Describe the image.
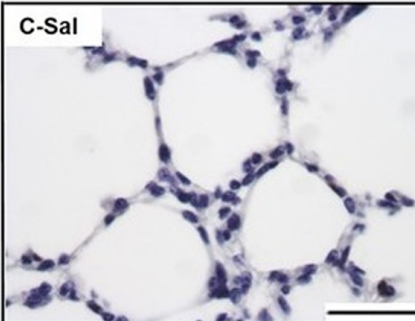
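This is normal-looking lung parenchyma made up of large, rounded, empty air spaces separated by thin walls. The walls are only one or a few cells thick and carry flattened and oval blue-stained nuclei lined up along them. Where several walls meet, small clusters of nuclei gather at the junctions. The air spaces are clear, with no cells filling them, and brown staining is almost absent, apart from perhaps a tiny spot at the edge. The overall picture is of a delicate, open, net-like framework with sparse cellularity.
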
